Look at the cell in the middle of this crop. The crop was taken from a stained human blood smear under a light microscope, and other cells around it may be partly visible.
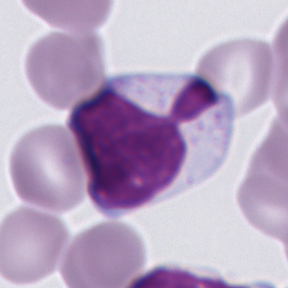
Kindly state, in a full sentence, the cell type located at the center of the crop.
What the crop centres on is a large granular lymphocyte.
